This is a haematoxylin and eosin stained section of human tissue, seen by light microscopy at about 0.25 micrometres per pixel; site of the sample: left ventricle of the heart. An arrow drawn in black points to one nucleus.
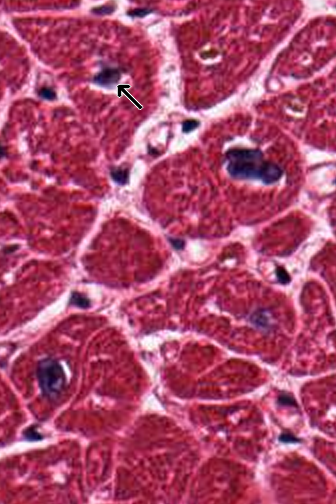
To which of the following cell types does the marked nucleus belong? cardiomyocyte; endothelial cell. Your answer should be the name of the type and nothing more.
cardiomyocyte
